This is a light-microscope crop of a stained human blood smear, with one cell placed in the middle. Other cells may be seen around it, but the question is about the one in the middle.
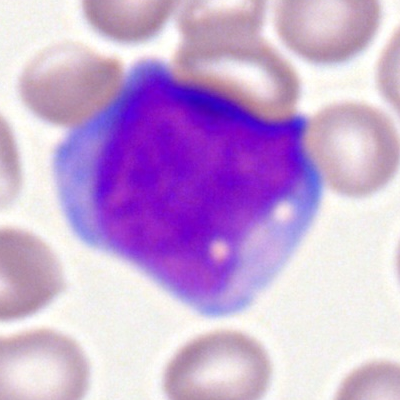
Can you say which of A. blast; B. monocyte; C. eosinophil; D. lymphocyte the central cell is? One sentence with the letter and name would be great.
Option A is right in identifying the central cell as a blast.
